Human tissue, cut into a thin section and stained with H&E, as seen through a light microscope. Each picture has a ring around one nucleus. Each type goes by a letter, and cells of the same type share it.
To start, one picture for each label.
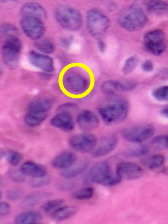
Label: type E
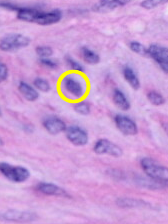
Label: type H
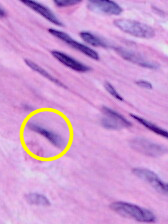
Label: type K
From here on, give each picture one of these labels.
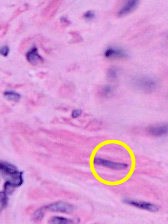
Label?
type H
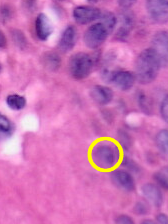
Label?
type E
